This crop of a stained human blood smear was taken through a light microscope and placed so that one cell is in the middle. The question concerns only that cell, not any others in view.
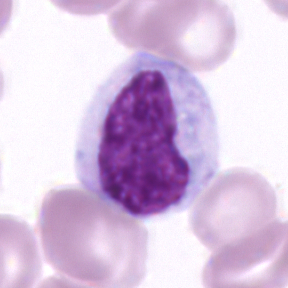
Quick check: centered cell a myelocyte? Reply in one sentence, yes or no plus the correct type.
No, the centre cell counts as a metamyelocyte, not as a myelocyte.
